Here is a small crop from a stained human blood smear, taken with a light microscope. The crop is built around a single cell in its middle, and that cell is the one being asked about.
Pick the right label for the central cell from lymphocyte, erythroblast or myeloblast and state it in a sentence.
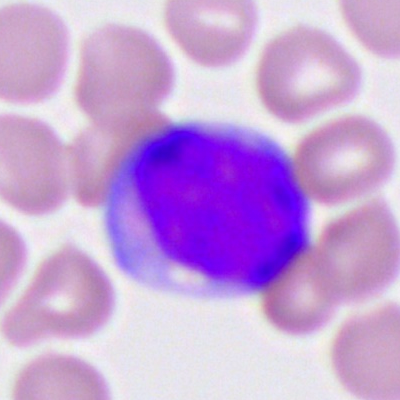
The cell the crop is centered on is a myeloblast.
